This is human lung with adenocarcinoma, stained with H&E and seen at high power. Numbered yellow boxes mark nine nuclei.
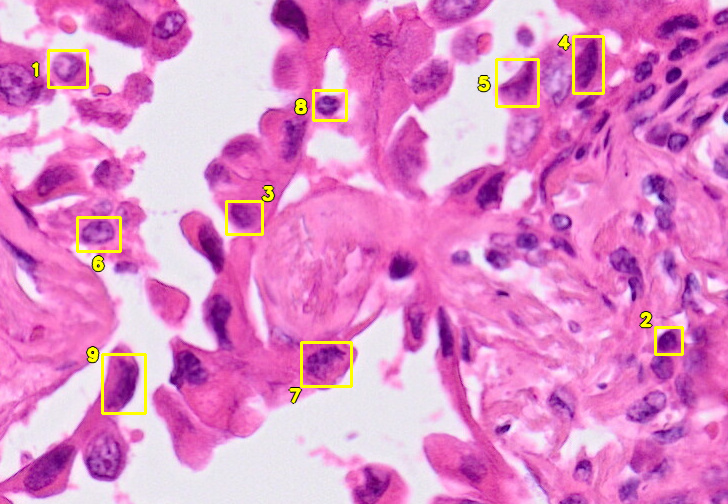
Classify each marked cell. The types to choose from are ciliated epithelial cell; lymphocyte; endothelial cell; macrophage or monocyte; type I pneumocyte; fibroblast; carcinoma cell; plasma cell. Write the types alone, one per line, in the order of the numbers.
macrophage or monocyte
plasma cell
carcinoma cell
carcinoma cell
carcinoma cell
macrophage or monocyte
carcinoma cell
lymphocyte
carcinoma cell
